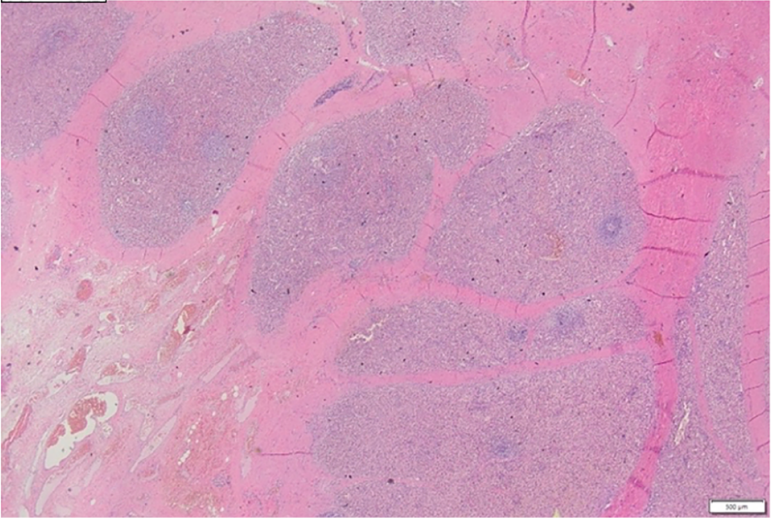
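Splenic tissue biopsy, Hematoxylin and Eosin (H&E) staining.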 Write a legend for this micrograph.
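At low magnification, spleen tissue forms rounded purple cellular lobules separated by broad bands of homogeneous pink fibrous tissue. Within the lobules, small darker purple round foci are scattered. At the lower left, loose connective tissue holds blood vessels filled with red blood cells.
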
